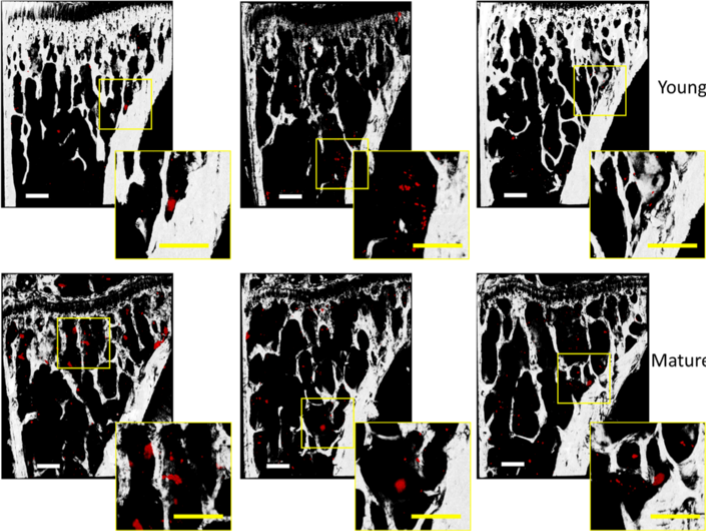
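Six views of the end of a long bone show bone in white and bone marrow spaces in black, with small red spots scattered through the marrow. In each view a dense, finely textured white band crosses the top, and below it a network of white struts and plates branches downward, enclosing dark, irregular marrow cavities. A thicker, smooth white wall runs along one side. The red spots are small, round to irregular, and mostly single, lying in the dark spaces, some close against the white bone surfaces and others farther out in the marrow. Yellow boxes mark areas shown enlarged in the insets, where individual red spots beside white bone can be made out.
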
